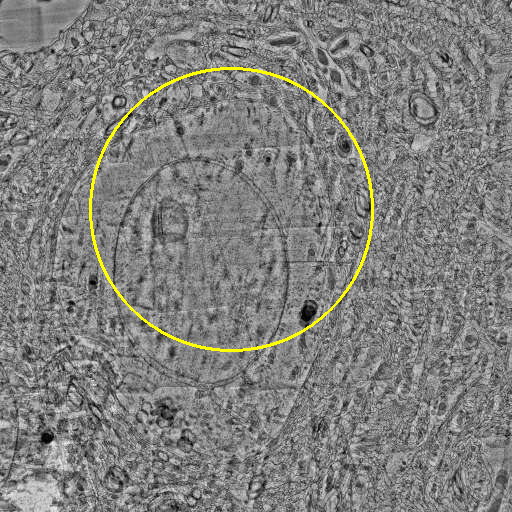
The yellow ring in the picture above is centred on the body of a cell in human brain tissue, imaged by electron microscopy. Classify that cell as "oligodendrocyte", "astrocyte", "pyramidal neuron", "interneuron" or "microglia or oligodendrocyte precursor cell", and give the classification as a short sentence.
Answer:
The cell in the middle of the ring is a pyramidal neuron.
